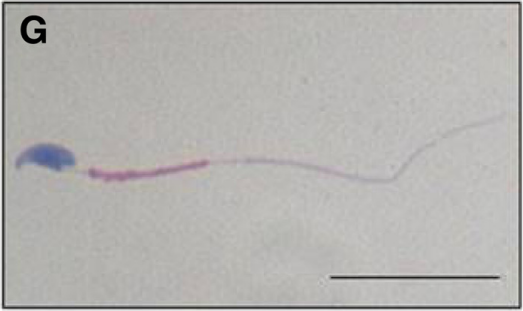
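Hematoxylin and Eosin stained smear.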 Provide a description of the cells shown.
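A single free cell lies on a pale background: a small, blue, curved hook-shaped head, followed by a short thick segment stained deep pink and then a long, slender, faint pink tail. The distinct head, thickened mid-piece and long tail mark this as a fully mature sperm.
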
